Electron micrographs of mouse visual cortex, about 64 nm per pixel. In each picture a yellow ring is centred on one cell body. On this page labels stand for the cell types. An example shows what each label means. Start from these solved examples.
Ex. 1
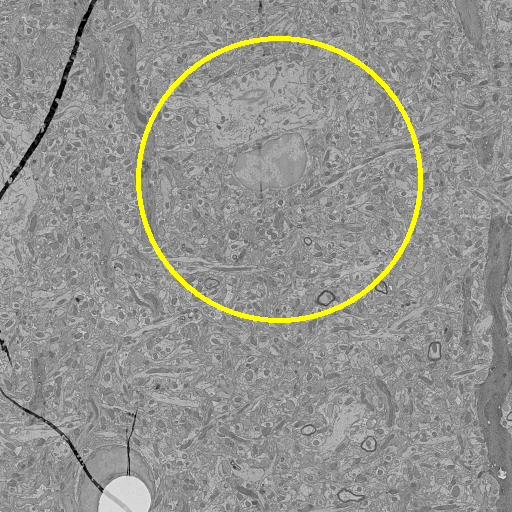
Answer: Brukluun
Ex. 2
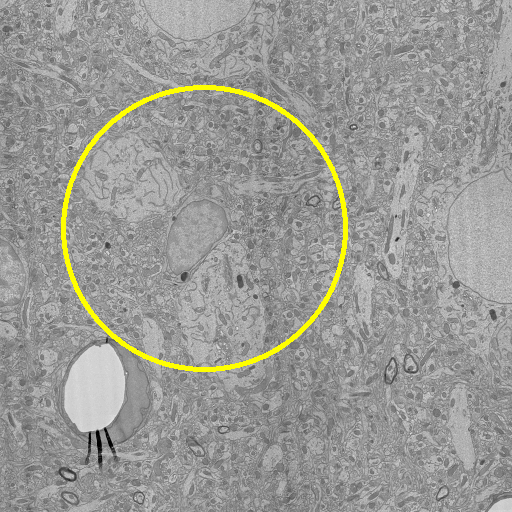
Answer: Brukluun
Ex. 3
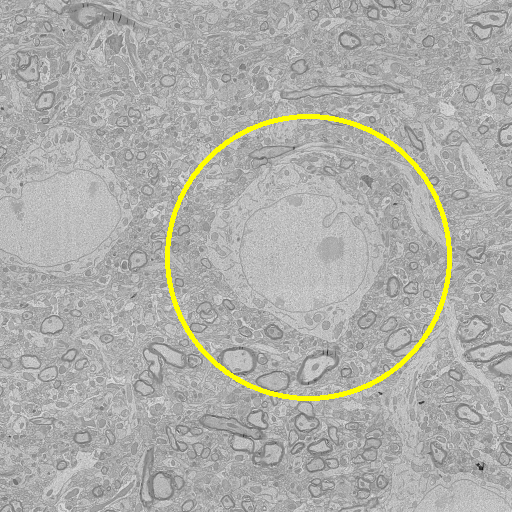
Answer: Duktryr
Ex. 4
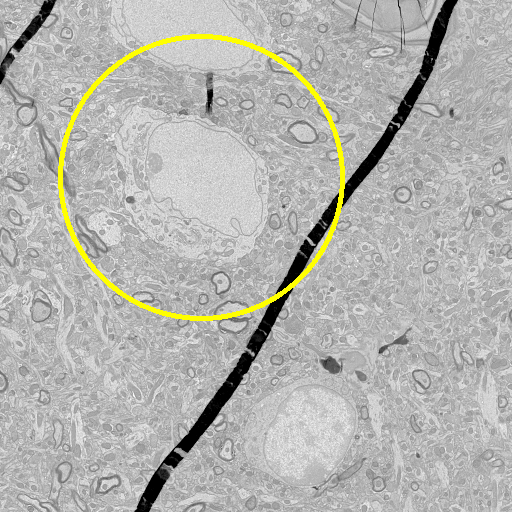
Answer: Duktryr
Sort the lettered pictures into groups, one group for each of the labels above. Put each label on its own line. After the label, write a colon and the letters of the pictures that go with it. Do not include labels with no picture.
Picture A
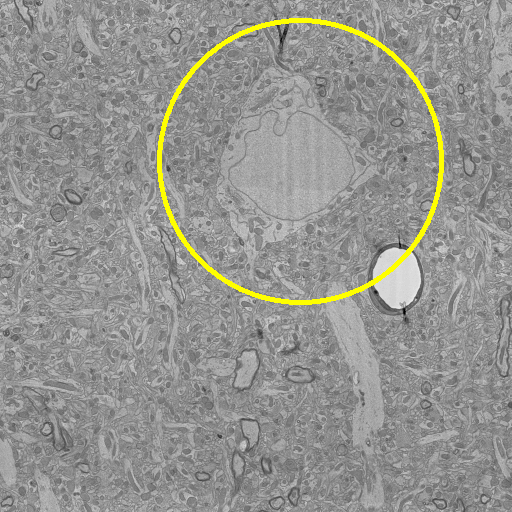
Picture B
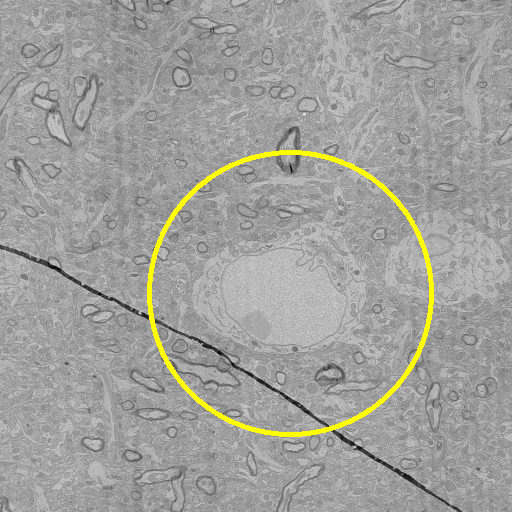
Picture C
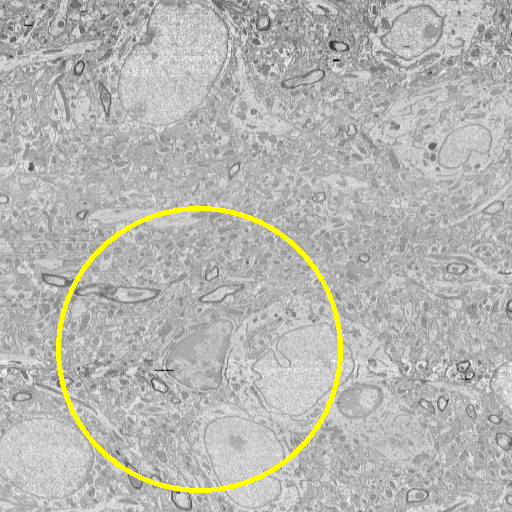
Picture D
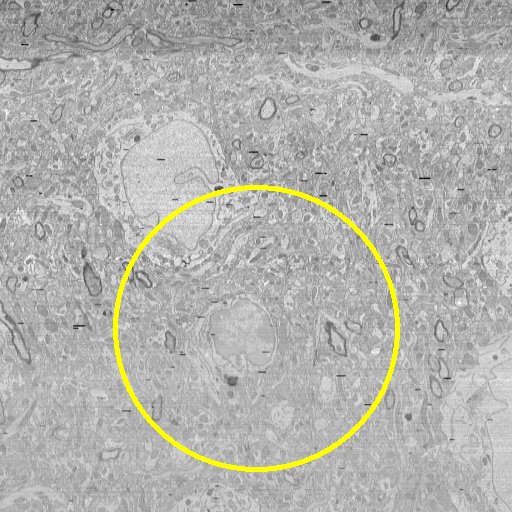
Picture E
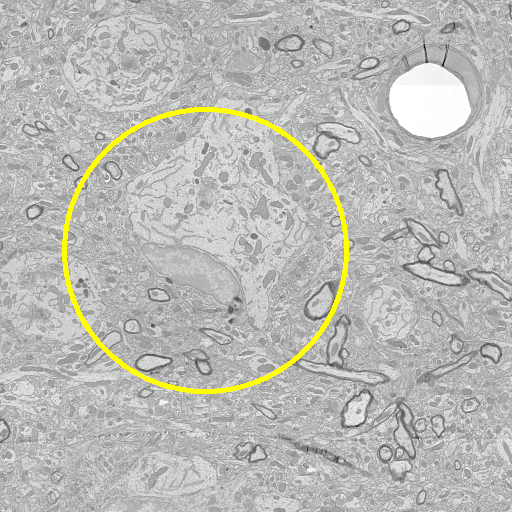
Brukluun: C, D, E
Duktryr: A, B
